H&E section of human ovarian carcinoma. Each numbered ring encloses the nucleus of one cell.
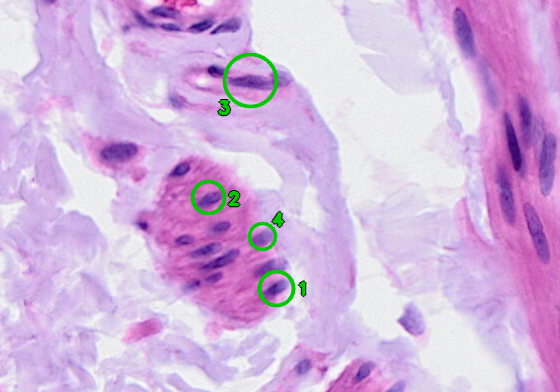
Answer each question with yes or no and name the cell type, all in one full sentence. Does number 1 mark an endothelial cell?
No, the cell with number 1 is not an endothelial cell but a smooth muscle cell.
